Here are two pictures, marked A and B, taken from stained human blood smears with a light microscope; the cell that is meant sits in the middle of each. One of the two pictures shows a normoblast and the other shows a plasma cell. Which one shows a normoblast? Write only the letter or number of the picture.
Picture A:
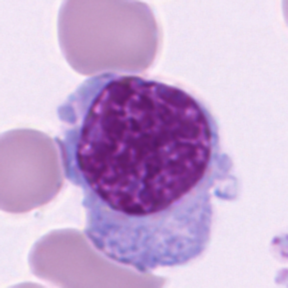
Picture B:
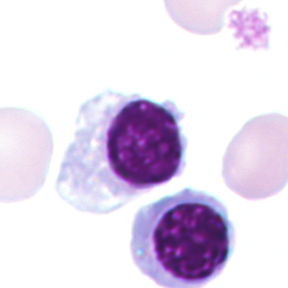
B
